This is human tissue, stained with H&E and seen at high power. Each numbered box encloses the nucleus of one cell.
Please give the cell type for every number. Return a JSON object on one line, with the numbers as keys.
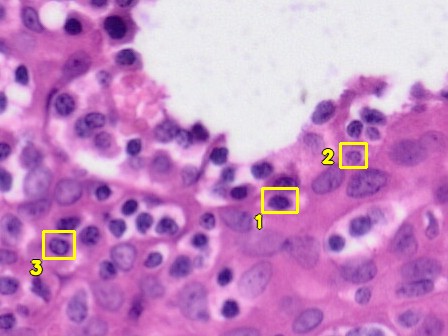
{"1": "squamous epithelial cell", "2": "squamous epithelial cell", "3": "plasma cell"}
